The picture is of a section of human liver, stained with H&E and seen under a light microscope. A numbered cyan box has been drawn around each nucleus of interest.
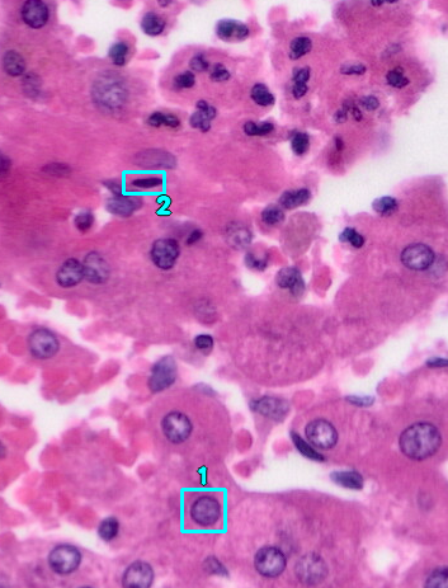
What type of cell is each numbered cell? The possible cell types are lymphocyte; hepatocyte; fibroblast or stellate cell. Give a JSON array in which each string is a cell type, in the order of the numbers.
["hepatocyte", "fibroblast or stellate cell"]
